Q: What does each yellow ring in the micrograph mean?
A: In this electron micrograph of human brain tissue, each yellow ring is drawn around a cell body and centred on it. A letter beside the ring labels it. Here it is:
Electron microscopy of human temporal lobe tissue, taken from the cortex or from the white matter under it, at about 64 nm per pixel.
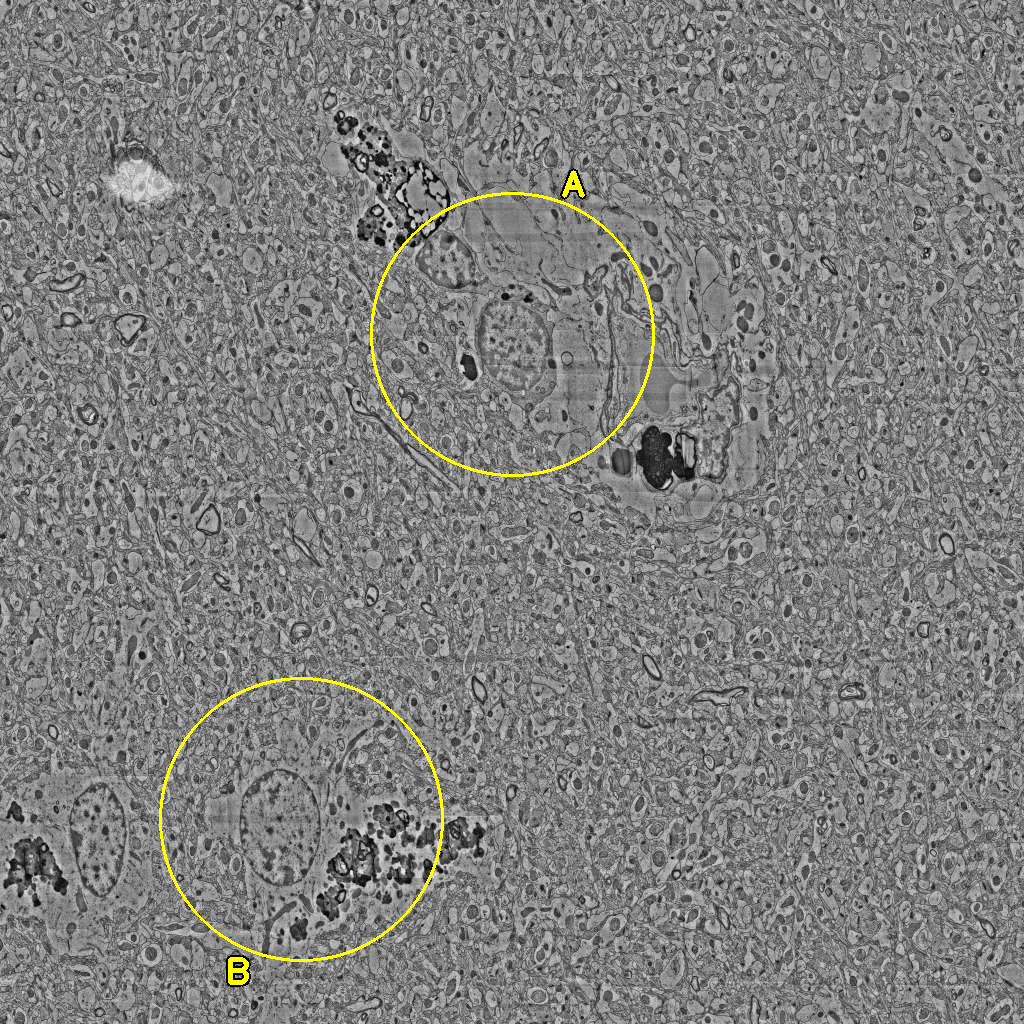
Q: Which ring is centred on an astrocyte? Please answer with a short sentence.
Ring B is the one centred on it.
